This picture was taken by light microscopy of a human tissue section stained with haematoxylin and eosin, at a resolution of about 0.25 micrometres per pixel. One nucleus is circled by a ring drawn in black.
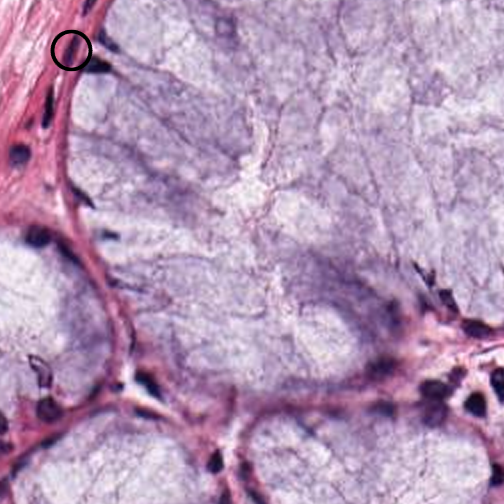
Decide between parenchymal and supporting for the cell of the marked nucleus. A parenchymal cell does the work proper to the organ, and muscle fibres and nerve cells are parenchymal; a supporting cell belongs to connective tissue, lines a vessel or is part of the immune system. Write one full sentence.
The marked nucleus is the nucleus of a supporting cell in this section.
